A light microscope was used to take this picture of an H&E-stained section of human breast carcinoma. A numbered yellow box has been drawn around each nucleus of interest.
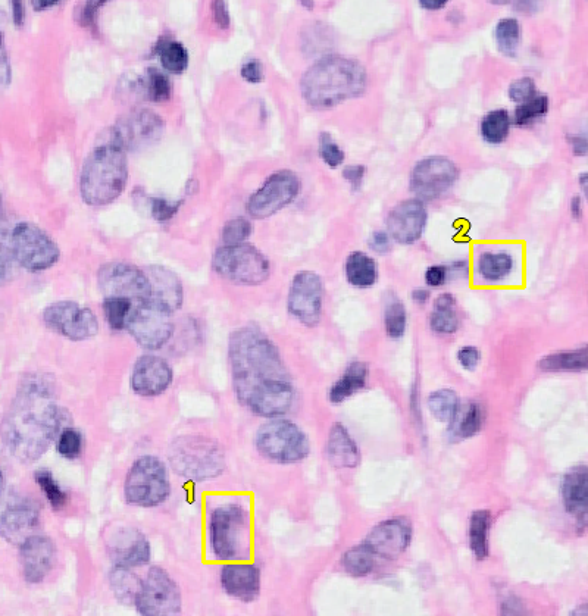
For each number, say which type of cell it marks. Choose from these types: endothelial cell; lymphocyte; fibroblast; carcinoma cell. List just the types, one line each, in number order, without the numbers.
carcinoma cell
lymphocyte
